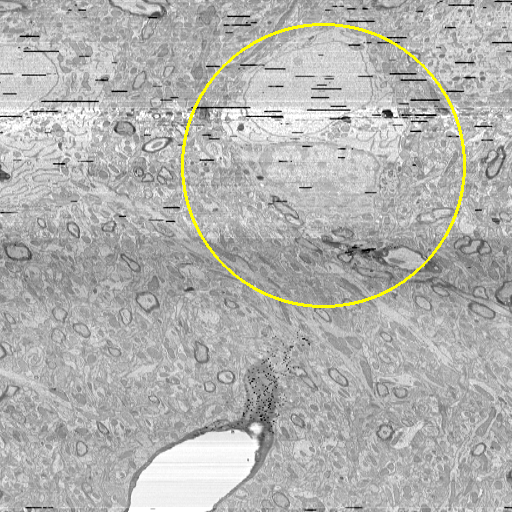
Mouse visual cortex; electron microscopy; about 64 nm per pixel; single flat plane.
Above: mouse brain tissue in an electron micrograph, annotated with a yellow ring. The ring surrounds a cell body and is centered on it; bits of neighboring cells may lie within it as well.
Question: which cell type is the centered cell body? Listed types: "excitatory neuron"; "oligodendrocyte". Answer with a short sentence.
The centered cell body is an oligodendrocyte.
